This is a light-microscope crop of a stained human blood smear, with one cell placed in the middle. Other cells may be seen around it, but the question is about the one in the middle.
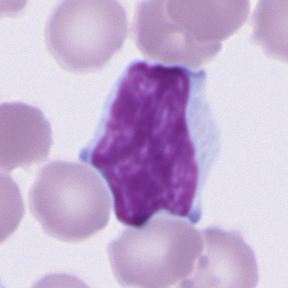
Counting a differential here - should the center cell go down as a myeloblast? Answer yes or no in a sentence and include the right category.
No, the identification should read a typical lymphocyte, not a myeloblast, for the central cell.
